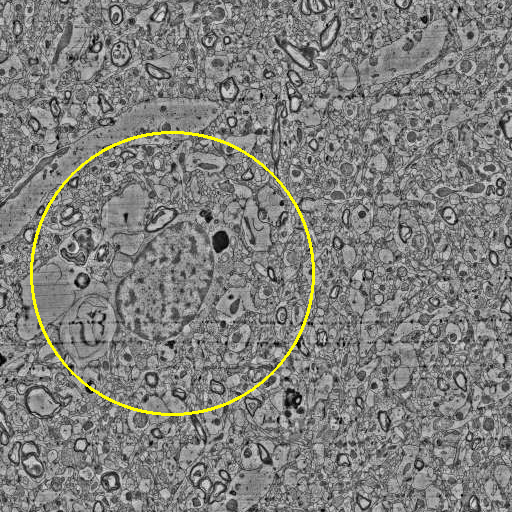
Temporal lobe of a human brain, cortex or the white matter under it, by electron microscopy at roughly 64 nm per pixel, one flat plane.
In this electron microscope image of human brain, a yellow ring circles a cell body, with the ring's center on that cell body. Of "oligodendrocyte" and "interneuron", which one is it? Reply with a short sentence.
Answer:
It is an oligodendrocyte at the center of the ring.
